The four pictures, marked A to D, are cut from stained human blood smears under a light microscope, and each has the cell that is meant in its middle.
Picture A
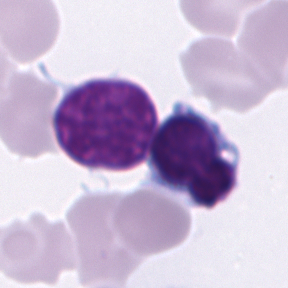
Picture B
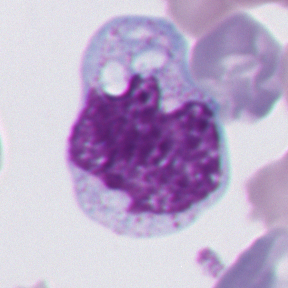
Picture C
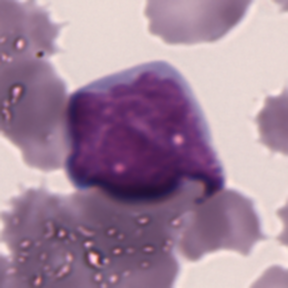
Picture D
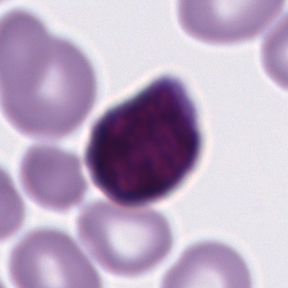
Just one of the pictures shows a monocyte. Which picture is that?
B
